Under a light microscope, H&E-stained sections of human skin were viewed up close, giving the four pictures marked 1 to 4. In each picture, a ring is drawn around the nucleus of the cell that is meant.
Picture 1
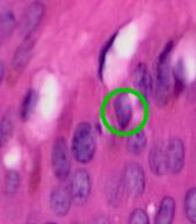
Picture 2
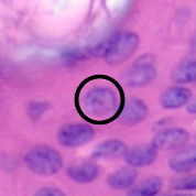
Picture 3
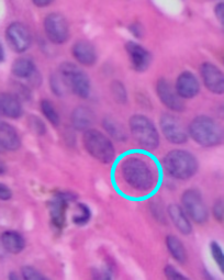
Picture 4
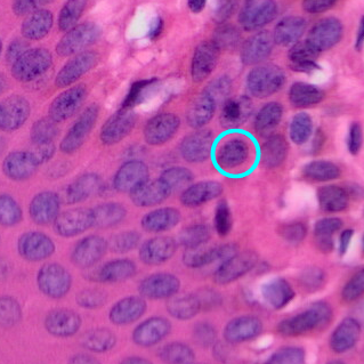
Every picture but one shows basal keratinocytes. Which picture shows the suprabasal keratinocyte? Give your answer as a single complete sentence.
The picture with the suprabasal keratinocyte is 2.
